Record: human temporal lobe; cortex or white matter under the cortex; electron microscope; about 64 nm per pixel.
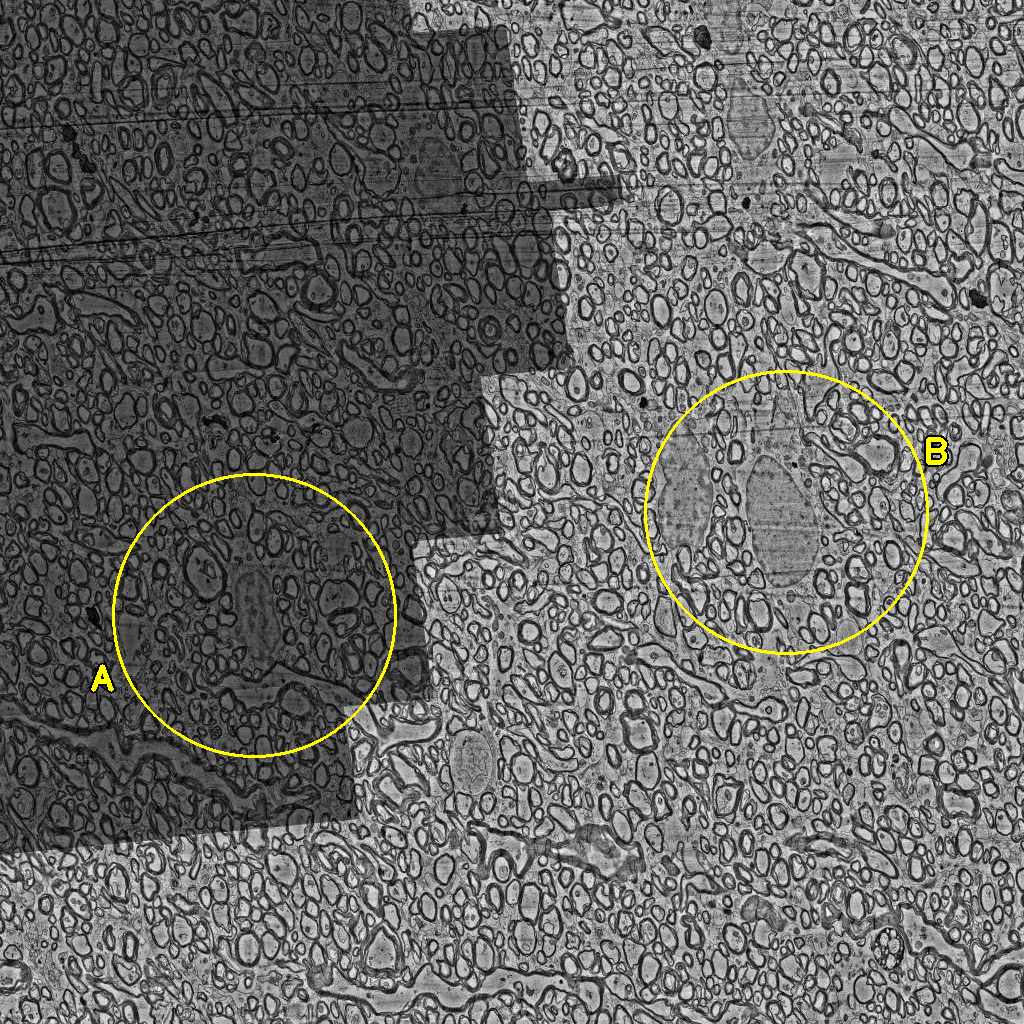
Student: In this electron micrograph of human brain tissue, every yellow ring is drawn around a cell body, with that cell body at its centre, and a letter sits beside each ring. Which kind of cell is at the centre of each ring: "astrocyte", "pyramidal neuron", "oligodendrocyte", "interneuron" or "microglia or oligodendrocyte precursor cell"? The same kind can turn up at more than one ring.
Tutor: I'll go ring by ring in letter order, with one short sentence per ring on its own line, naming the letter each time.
Ring A: the cell at its centre is an oligodendrocyte.
Ring B: the cell at its centre is an astrocyte.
